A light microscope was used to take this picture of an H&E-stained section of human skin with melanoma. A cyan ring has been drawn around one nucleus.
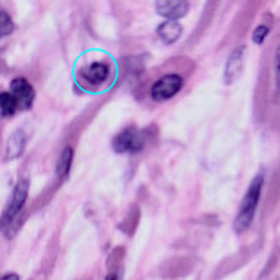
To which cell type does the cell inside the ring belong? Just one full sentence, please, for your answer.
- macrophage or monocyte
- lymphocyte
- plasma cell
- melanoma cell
As classified here, the cell inside the ring is a plasma cell.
